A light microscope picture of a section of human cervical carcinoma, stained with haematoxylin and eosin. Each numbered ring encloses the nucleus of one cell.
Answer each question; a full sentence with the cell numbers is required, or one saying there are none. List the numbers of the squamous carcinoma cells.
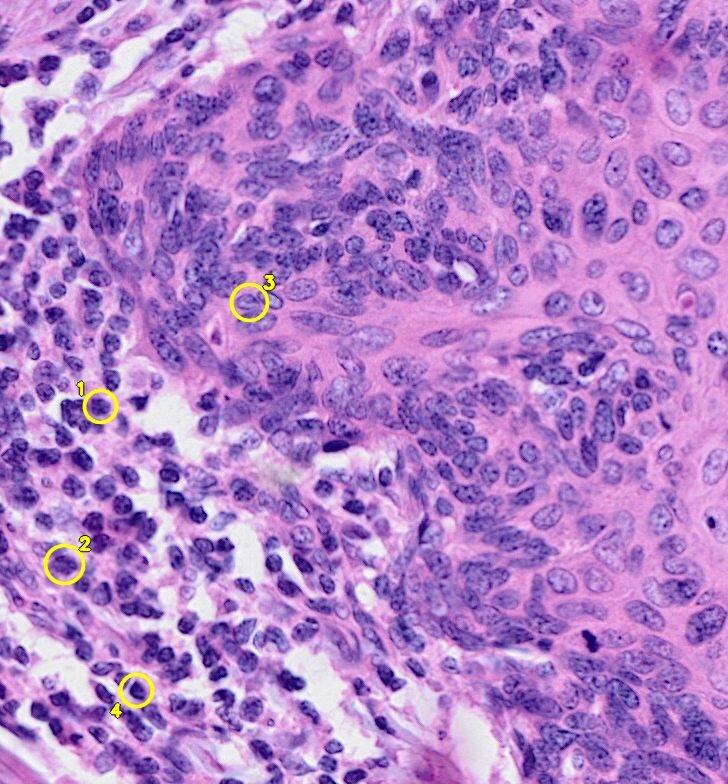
The nucleus labelled 3 alone belongs to a squamous carcinoma cell; the other marked nuclei do not.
